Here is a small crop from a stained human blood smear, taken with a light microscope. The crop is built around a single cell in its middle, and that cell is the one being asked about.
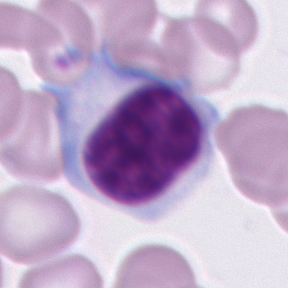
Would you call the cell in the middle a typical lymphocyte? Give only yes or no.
yes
